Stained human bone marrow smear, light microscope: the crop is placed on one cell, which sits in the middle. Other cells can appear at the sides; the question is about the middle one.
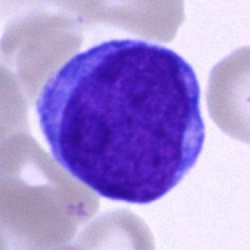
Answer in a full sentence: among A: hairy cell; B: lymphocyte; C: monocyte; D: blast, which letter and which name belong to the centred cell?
The correct response is option D, naming the cell in the middle as a blast.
